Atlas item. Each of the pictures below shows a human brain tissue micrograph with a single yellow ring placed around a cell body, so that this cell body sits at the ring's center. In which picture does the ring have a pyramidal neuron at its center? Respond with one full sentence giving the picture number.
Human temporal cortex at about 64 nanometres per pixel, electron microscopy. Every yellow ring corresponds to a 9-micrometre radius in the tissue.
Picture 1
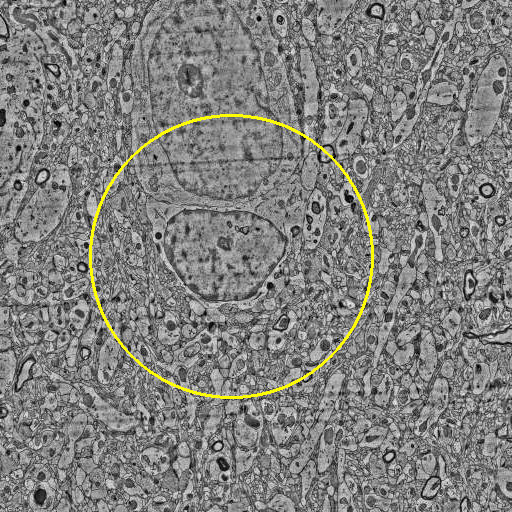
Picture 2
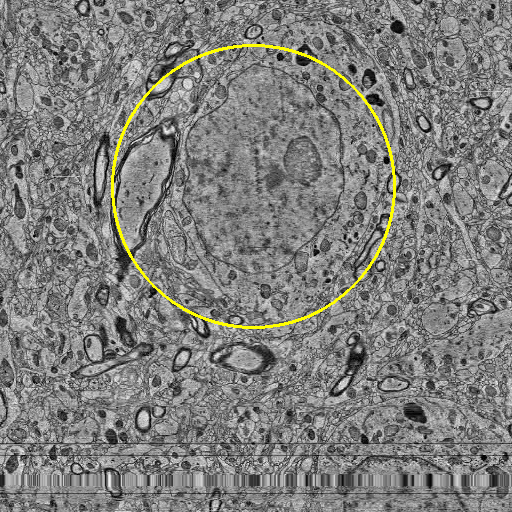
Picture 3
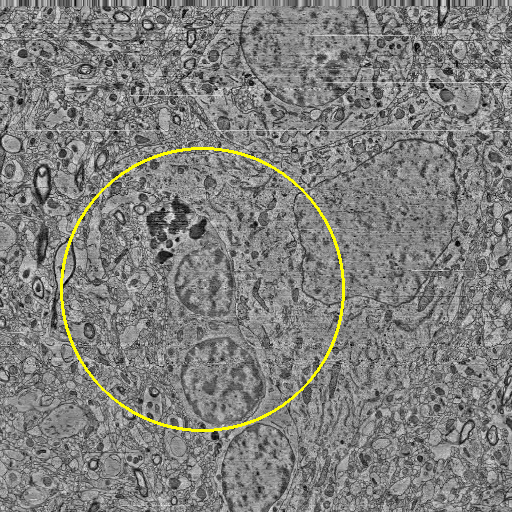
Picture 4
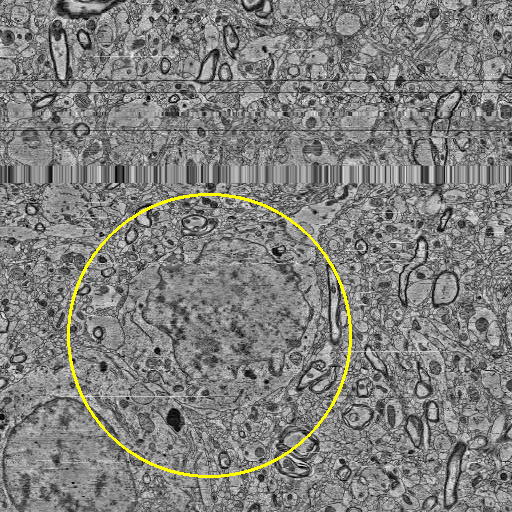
The cell at the ring's center that fits lies in picture 2.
